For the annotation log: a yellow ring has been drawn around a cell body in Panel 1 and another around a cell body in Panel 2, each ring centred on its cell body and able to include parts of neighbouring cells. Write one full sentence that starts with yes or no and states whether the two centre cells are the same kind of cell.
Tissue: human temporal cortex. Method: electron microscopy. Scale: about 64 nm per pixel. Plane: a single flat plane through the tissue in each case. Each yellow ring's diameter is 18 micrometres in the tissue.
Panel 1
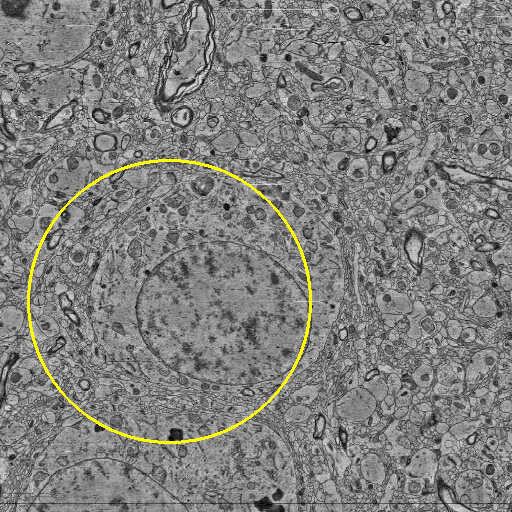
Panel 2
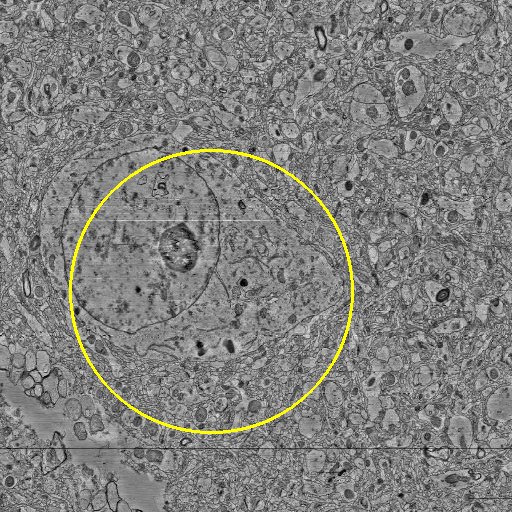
No, the two centre cells are two kinds of cell.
